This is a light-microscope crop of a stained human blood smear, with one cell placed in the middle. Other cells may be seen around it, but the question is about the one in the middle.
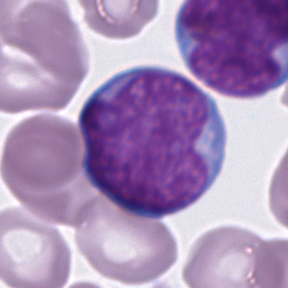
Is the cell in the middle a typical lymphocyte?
no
